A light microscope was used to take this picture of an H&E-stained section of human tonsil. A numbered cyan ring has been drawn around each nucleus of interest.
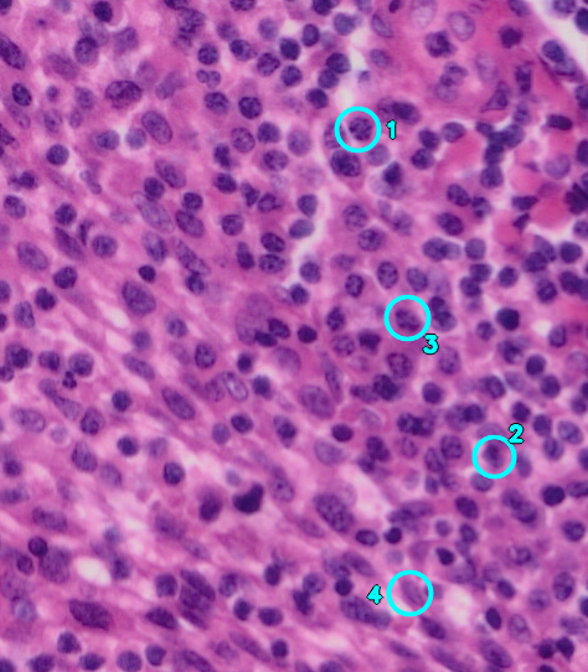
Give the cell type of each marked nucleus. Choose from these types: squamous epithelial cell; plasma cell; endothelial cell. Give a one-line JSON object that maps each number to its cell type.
{"1": "plasma cell", "2": "plasma cell", "3": "plasma cell", "4": "squamous epithelial cell"}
